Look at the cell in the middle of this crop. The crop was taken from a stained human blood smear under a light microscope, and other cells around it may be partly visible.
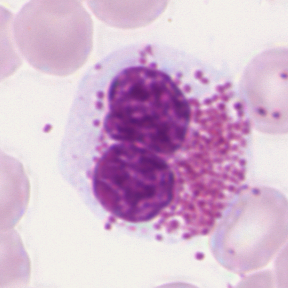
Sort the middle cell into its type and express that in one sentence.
The identification for the central cell is an eosinophil.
